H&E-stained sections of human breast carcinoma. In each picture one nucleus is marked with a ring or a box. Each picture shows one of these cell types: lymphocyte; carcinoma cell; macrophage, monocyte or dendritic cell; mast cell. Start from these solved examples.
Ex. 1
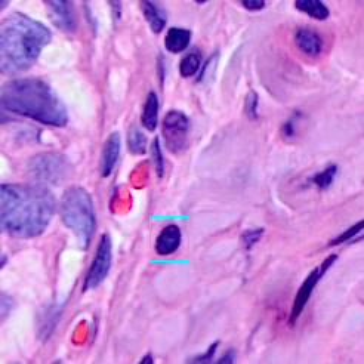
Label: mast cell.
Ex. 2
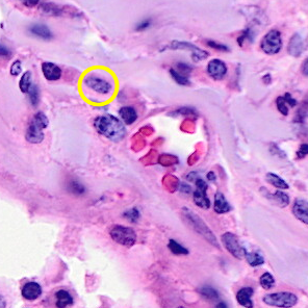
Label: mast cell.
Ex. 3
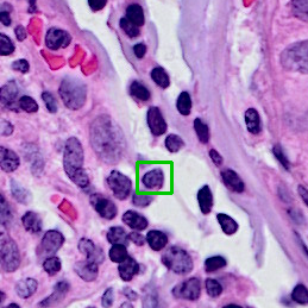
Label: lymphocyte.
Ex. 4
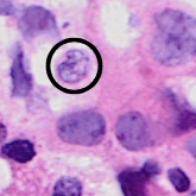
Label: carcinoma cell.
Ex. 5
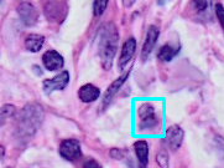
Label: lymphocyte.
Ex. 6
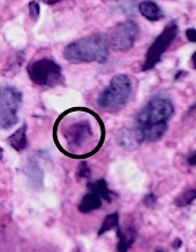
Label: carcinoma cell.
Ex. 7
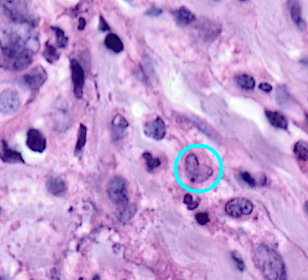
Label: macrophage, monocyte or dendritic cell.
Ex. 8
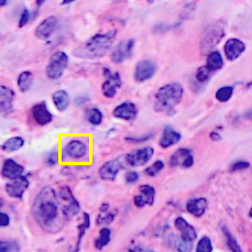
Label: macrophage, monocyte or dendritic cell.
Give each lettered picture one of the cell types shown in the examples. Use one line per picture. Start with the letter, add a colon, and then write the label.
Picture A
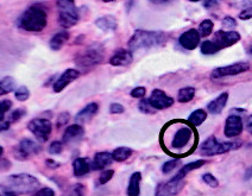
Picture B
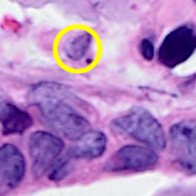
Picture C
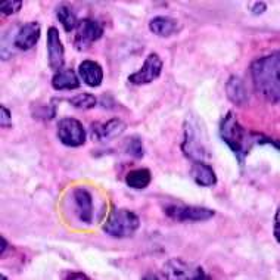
A: lymphocyte.
B: macrophage, monocyte or dendritic cell.
C: lymphocyte.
